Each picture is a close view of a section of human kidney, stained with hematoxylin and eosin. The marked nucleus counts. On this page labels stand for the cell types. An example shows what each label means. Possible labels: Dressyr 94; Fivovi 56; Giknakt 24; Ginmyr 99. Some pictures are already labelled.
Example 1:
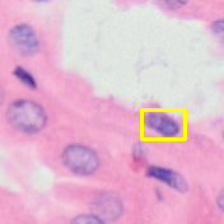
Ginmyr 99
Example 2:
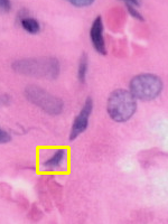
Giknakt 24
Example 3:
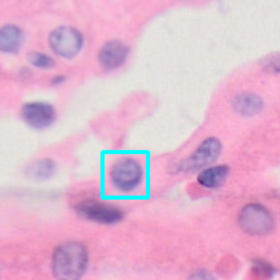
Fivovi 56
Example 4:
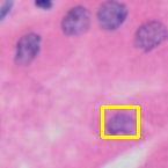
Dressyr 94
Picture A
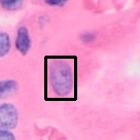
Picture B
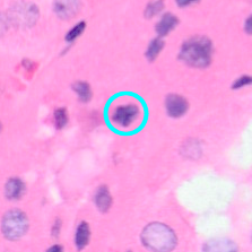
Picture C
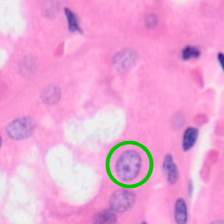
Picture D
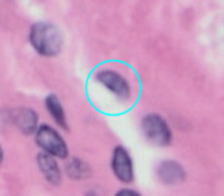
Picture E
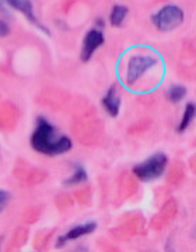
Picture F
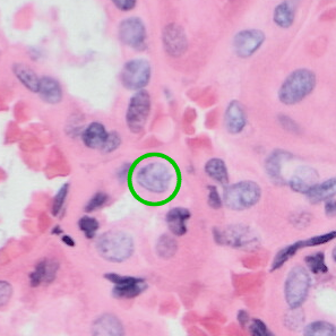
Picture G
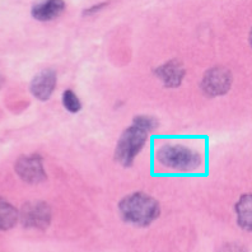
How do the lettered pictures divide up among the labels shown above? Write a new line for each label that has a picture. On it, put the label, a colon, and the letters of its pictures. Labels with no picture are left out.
Dressyr 94: A, C
Fivovi 56: D, F
Giknakt 24: E, G
Ginmyr 99: B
